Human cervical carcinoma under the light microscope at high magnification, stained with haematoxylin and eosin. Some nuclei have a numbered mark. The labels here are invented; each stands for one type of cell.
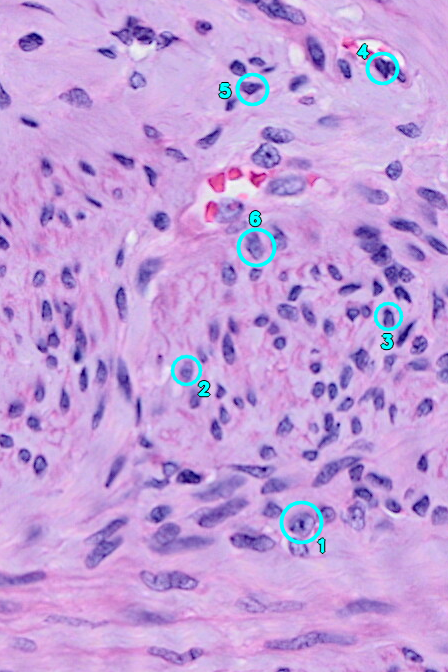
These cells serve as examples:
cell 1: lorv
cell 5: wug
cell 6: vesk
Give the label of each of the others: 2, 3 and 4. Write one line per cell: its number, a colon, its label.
2: vesk
3: wug
4: lorv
